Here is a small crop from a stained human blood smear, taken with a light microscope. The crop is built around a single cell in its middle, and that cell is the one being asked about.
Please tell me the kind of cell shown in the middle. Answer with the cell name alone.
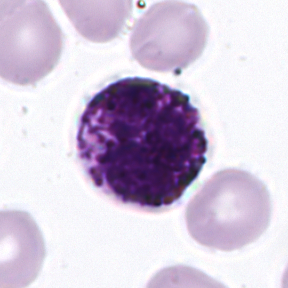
basophil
